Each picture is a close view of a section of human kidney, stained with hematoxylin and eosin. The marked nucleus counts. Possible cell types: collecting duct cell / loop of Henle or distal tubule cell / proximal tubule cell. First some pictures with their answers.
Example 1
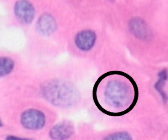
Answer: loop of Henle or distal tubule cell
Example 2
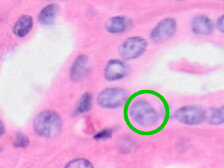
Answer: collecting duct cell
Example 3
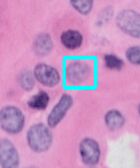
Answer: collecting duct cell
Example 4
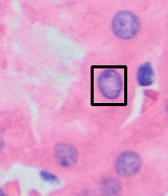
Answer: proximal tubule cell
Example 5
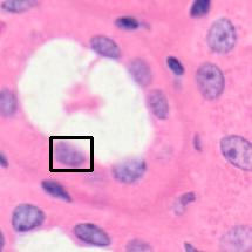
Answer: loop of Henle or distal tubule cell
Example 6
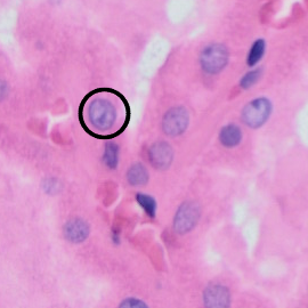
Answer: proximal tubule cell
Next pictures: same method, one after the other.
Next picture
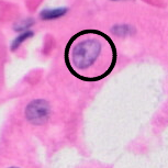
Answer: proximal tubule cell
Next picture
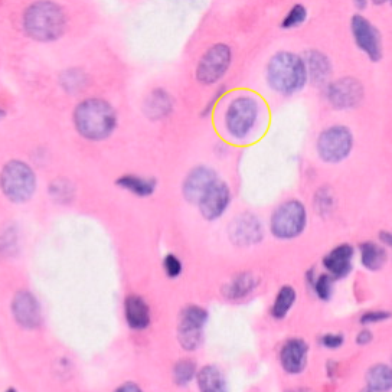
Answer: collecting duct cell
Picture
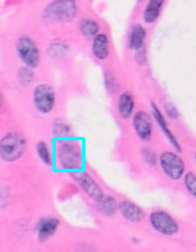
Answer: collecting duct cell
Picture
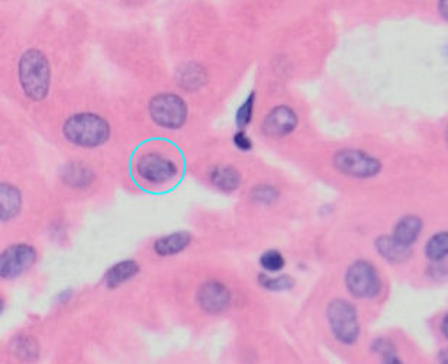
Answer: loop of Henle or distal tubule cell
